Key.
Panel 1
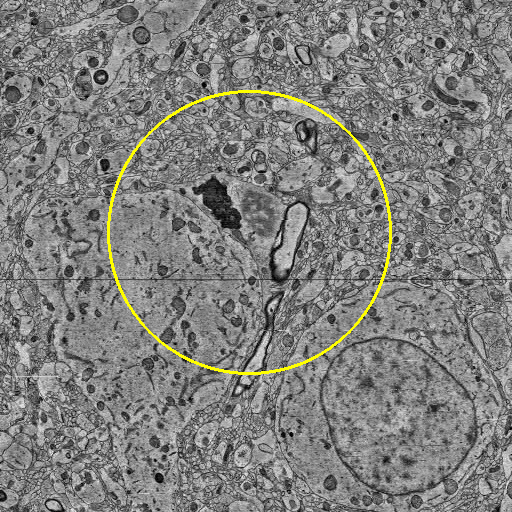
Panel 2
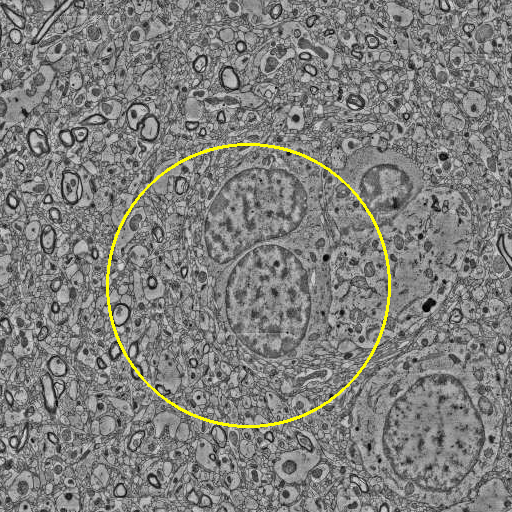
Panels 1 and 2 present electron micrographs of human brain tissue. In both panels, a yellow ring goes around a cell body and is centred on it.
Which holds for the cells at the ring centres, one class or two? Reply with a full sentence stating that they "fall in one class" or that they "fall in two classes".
Taken together, the ring-centre cells of the two panels fall in one class.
